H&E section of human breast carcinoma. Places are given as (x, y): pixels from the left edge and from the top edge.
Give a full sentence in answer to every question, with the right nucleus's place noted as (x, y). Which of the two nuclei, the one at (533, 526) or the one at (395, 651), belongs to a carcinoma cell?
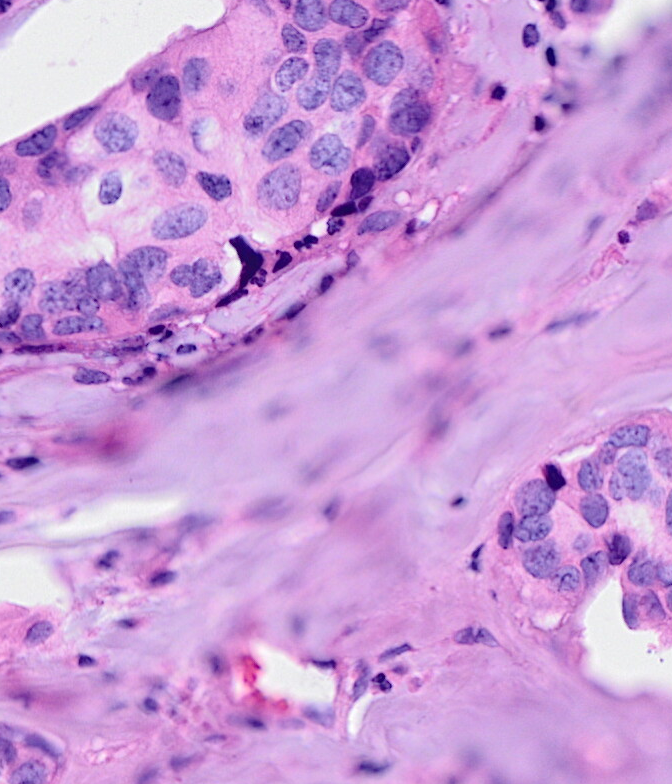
The one nucleus of the two that belongs to a carcinoma cell is at (533, 526).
